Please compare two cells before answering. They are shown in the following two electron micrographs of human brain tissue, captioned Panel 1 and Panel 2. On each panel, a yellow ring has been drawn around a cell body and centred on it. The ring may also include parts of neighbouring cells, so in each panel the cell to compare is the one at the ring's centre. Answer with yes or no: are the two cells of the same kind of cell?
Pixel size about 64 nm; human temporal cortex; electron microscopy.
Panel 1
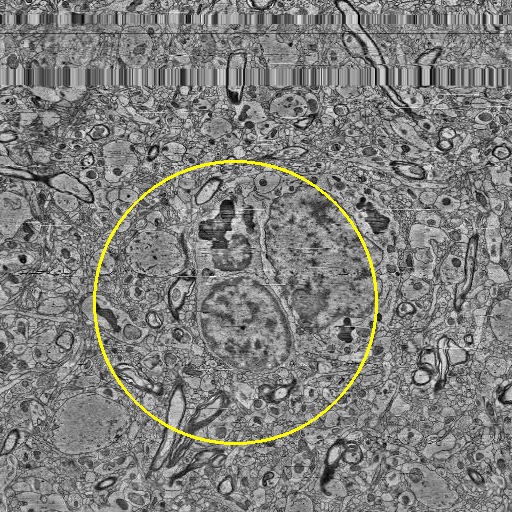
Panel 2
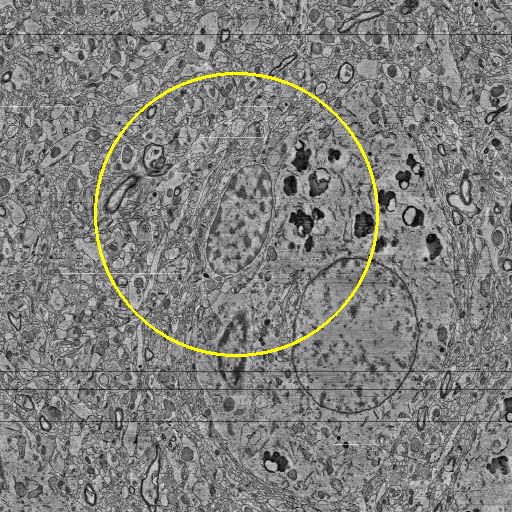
no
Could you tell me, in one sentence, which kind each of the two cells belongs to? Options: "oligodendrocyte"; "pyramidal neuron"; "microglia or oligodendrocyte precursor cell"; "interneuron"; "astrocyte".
At the centre of the first ring sits an oligodendrocyte, and at the centre of the second sits a microglial cell or oligodendrocyte precursor cell.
